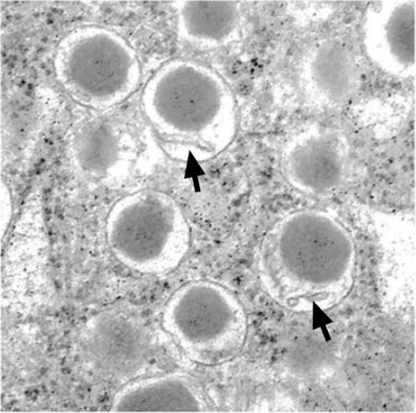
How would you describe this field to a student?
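This electron micrograph shows pancreatic beta-cell cytoplasm filled with round insulin vesicles. Each vesicle has a grey dense core set in a pale halo inside a thin limiting membrane. In several vesicles the halo is not clear but holds folded, membrane-like extra material that crowds against the core. Two such vesicles are marked by black arrows. Between the vesicles, the cytoplasm carries scattered small dark particles.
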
